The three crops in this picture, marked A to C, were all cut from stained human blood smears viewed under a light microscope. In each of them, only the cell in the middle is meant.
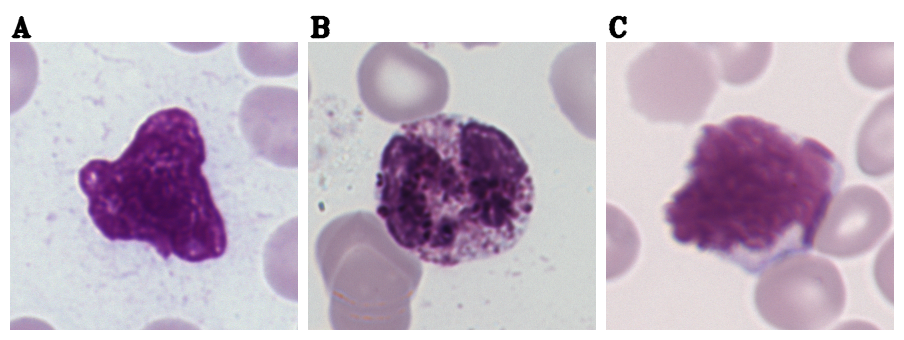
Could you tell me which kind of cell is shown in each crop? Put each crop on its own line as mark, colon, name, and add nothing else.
A: smudge cell
B: basophil
C: smudge cell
